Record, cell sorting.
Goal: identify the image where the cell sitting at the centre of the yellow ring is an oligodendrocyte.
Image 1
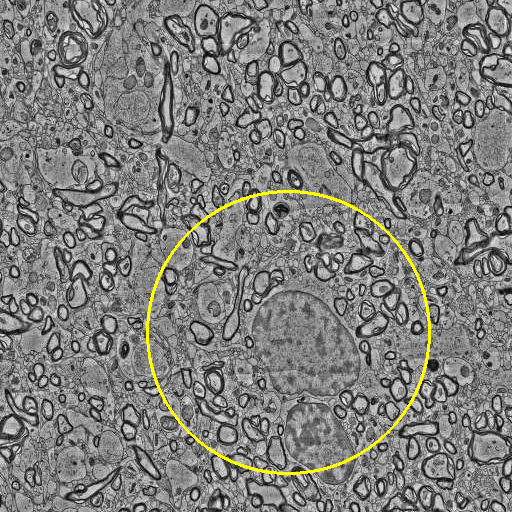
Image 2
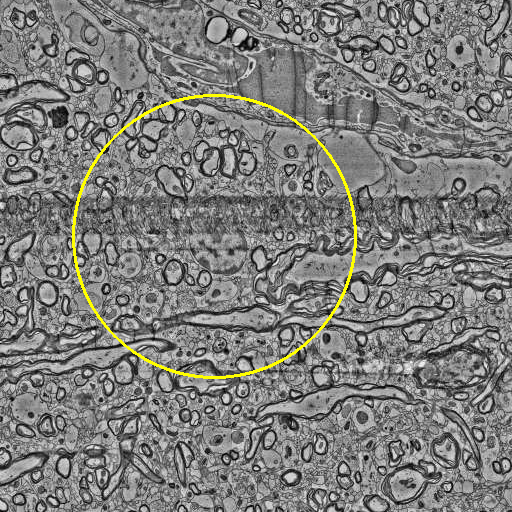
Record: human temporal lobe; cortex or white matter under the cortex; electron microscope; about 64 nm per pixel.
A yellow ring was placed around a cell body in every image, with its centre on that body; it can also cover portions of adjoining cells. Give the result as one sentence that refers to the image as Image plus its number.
Image 1 shows the requested cell sitting right at the centre of its ring.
